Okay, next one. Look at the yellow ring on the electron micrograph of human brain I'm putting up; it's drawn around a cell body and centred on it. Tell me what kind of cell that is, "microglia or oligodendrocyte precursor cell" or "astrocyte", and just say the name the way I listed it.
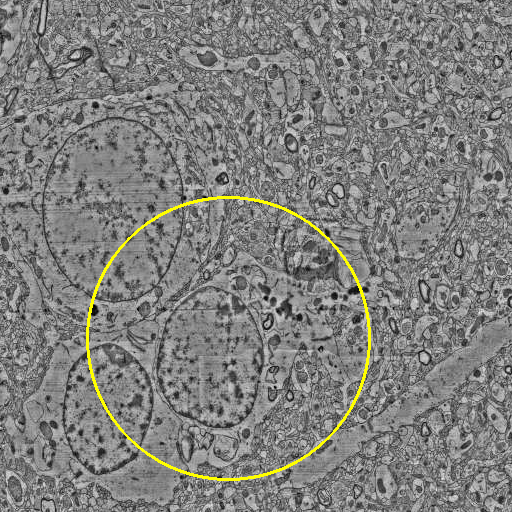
astrocyte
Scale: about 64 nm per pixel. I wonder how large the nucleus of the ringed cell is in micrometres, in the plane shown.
The ringed cell's nucleus measures approximately 9 by 7 micrometres in this plane.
